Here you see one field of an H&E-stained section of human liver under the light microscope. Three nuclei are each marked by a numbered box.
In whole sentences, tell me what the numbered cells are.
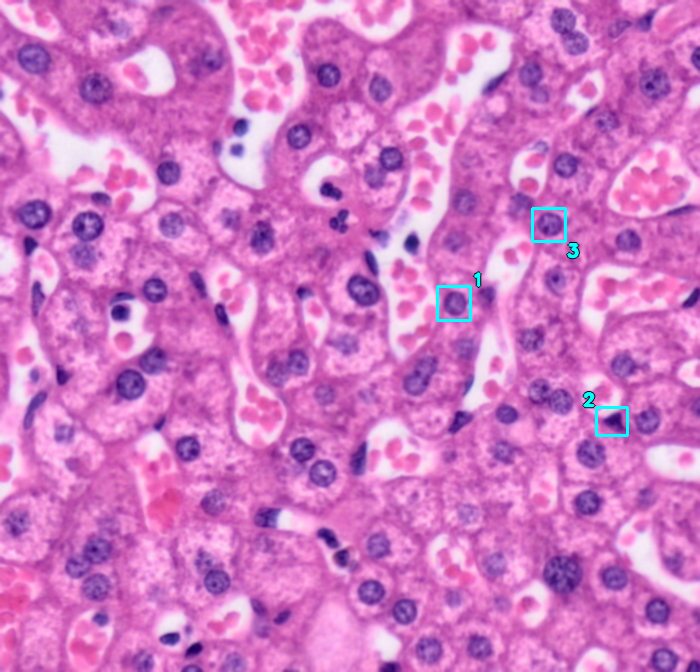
Cell 1 is a hepatocyte, cell 2 is a fibroblast or stellate cell and cell 3 is a hepatocyte.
